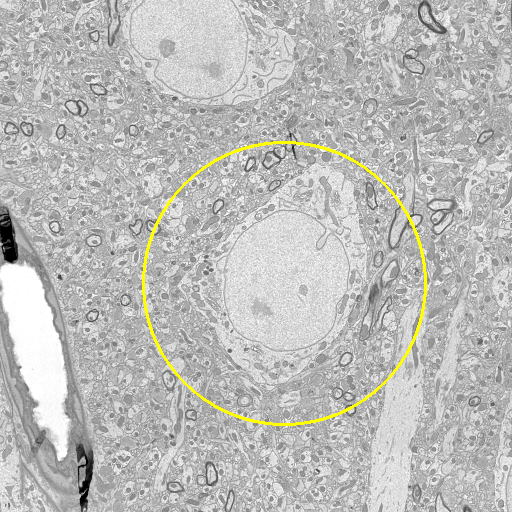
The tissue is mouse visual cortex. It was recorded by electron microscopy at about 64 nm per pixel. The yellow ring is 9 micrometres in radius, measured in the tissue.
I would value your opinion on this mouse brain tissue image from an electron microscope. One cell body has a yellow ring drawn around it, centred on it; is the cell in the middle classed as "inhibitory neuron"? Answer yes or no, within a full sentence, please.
No, I would class the cell in the middle of the ring as a different kind.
